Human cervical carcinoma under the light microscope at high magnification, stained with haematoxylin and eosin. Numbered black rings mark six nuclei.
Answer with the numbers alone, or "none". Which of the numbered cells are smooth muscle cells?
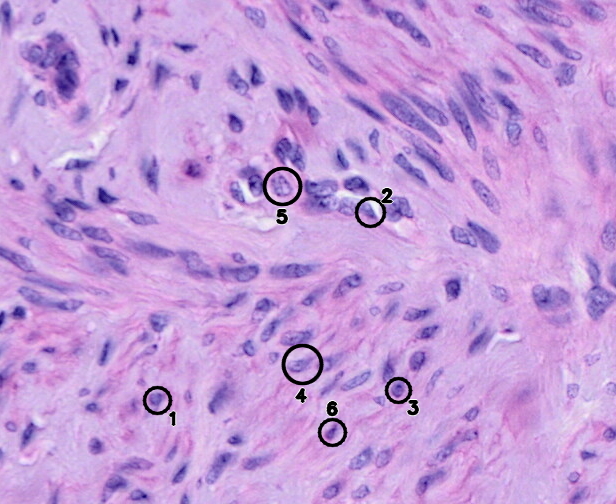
1, 3, 4, 6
